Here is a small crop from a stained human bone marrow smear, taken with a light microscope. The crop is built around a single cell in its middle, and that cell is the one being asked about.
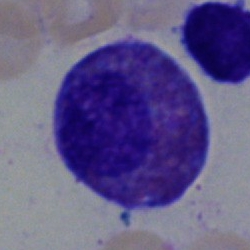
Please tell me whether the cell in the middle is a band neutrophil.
no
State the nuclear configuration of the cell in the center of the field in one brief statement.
What stands out is a nucleus forming one compact round, oval or kidney-shaped mass.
